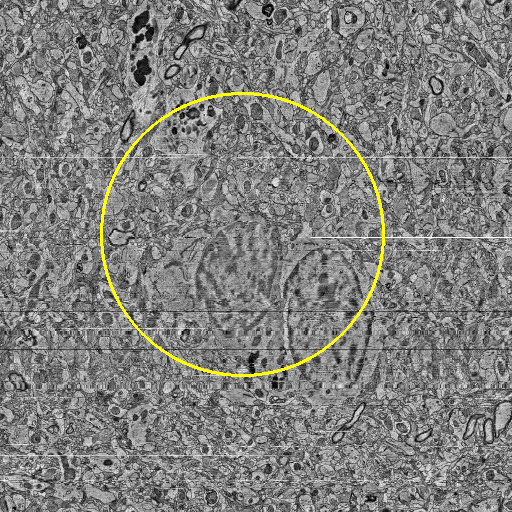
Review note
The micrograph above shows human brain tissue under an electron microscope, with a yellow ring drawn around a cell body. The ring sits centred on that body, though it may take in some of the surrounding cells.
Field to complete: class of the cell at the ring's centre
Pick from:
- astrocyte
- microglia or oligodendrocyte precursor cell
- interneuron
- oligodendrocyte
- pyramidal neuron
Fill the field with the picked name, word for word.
oligodendrocyte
